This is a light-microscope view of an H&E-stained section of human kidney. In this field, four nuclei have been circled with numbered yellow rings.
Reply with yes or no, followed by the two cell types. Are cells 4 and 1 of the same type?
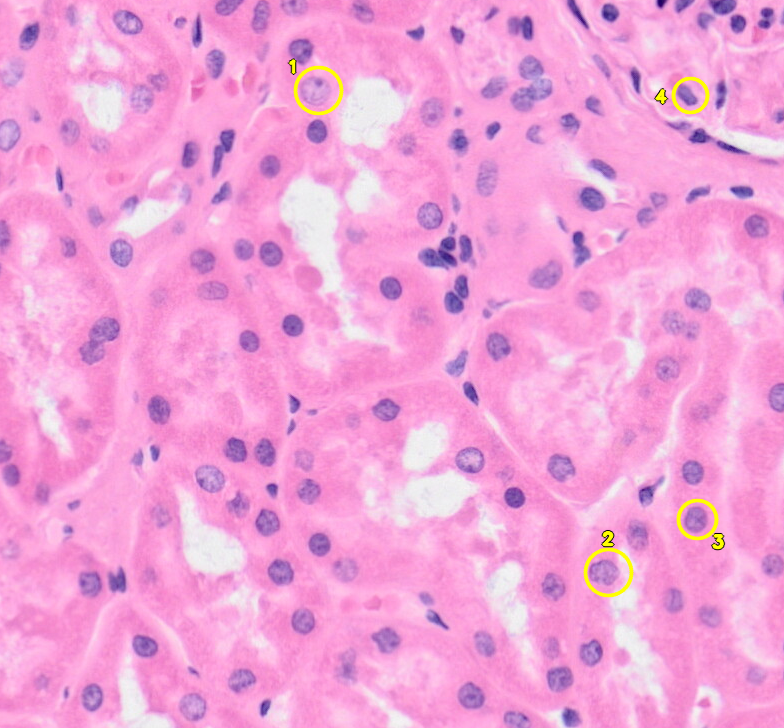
No, as to type, cell 4 is an endothelial cell, and cell 1 is a proximal tubule cell.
